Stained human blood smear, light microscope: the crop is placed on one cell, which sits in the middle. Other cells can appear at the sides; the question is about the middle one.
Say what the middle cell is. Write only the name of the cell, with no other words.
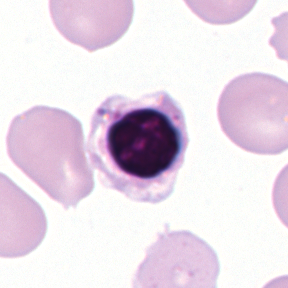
normoblast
